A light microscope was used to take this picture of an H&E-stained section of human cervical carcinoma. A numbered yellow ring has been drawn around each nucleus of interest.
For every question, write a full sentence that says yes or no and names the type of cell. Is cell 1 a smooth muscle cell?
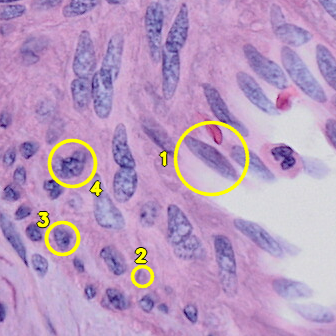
No, the cell bearing the number 1 is an endothelial cell, not a smooth muscle cell.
